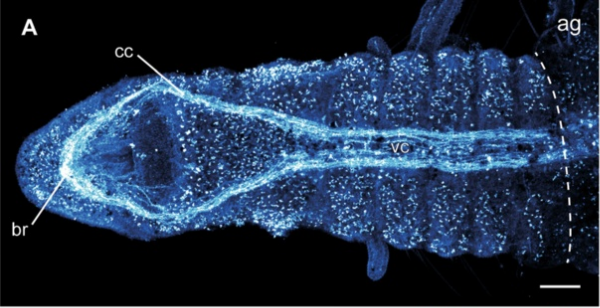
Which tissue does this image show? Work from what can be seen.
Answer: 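A bright arc of fibers at the anterior tip connects via two lateral strands to a midline cord. The midline cord runs posteriorly along the body.
Conclusion: nervous system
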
